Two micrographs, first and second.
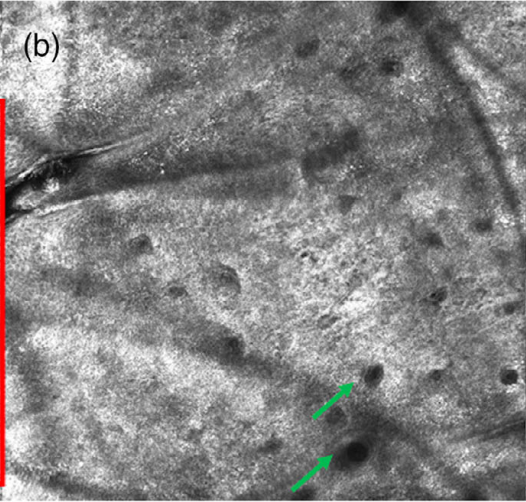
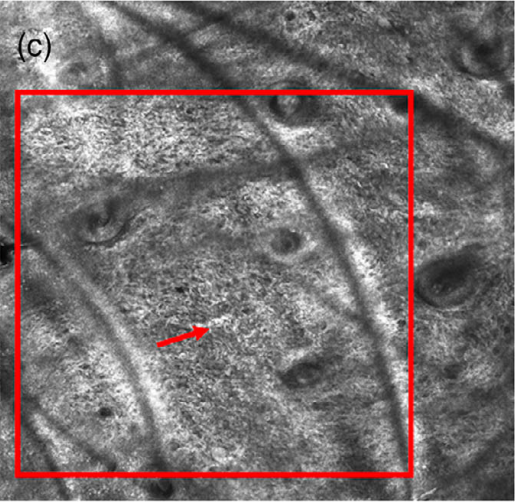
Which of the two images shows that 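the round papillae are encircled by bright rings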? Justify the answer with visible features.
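First image: the round papillae appear as dark spots without a bright rim.
Conclusion: the second image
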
